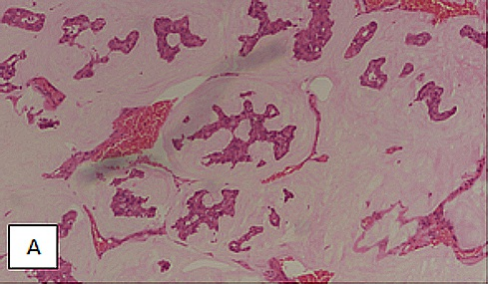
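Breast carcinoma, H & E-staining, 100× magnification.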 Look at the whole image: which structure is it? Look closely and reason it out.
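Pools of extracellular mucin. Most of the field is filled by pale, acellular, faintly pink material. Small purple cell clusters lie isolated within this pale material.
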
